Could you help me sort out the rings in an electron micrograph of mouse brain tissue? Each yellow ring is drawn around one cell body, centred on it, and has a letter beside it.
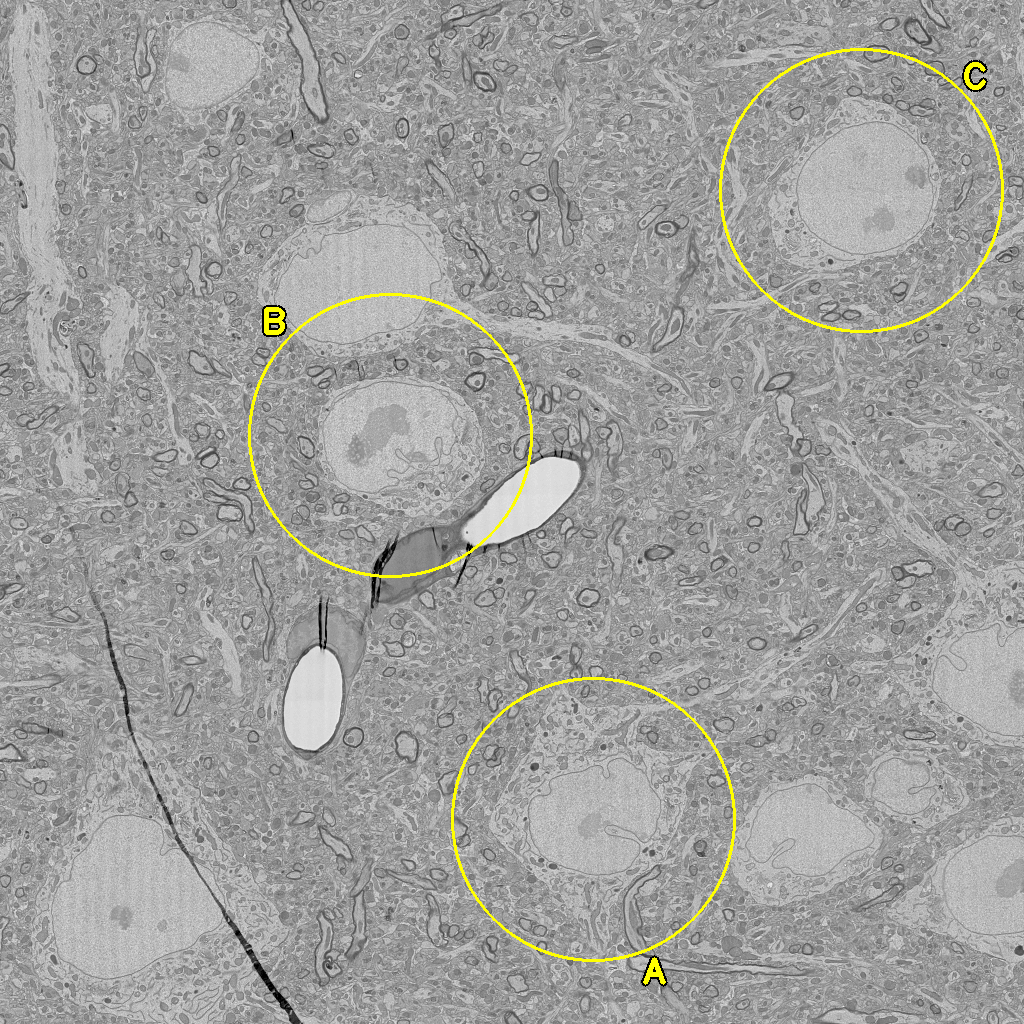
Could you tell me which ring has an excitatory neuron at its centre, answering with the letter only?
C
